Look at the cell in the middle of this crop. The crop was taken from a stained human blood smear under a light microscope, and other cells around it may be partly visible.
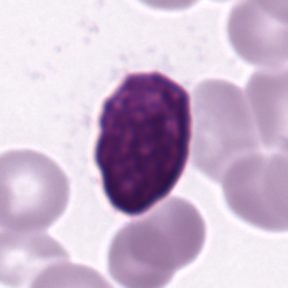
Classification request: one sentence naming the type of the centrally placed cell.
The middle cell in this particular crop is a smudge cell.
